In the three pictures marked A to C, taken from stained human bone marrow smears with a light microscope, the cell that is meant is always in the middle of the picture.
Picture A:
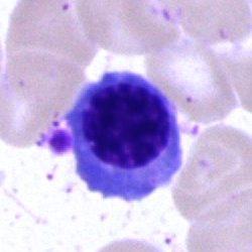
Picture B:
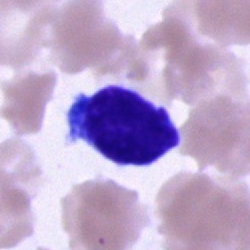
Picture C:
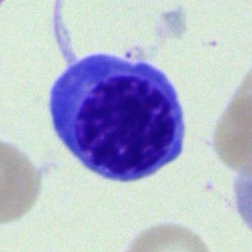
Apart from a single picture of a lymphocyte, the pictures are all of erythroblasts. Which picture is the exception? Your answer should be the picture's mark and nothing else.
B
